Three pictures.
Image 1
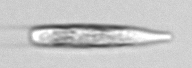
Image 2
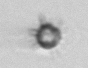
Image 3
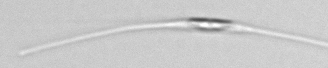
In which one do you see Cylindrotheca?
In picture 3.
